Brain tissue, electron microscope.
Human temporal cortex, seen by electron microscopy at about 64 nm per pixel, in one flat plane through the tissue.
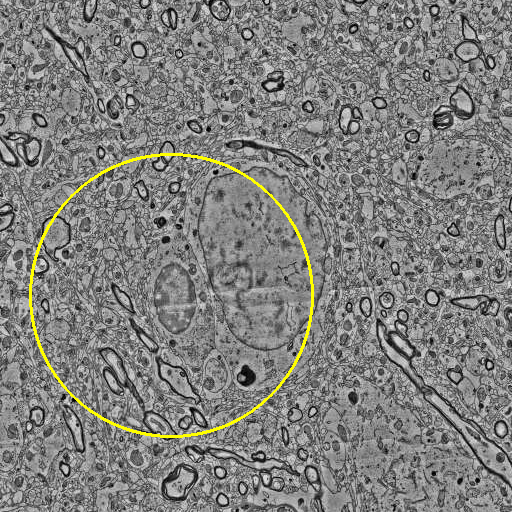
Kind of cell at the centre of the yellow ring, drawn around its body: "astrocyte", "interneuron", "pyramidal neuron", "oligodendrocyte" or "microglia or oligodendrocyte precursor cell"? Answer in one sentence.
The ring's centre falls on an oligodendrocyte.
